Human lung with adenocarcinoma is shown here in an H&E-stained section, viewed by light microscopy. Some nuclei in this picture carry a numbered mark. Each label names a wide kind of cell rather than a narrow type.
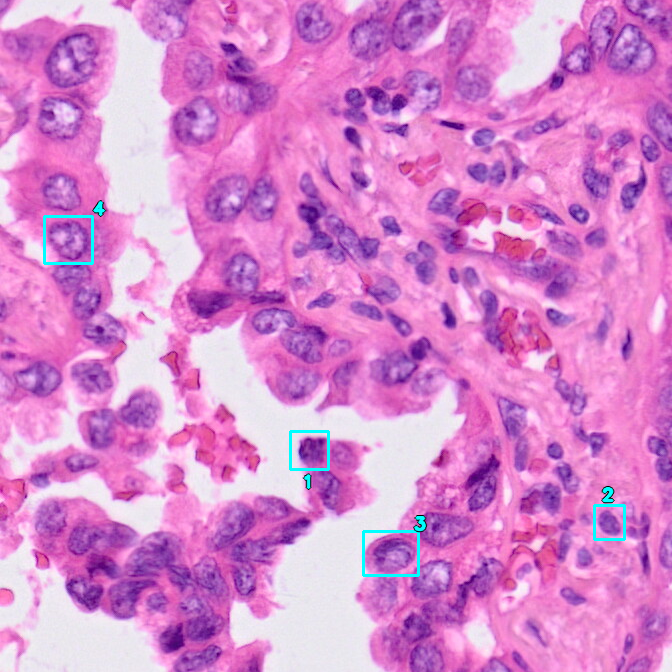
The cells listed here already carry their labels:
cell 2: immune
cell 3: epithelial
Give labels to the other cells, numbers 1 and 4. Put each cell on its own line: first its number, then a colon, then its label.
1: epithelial
4: epithelial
